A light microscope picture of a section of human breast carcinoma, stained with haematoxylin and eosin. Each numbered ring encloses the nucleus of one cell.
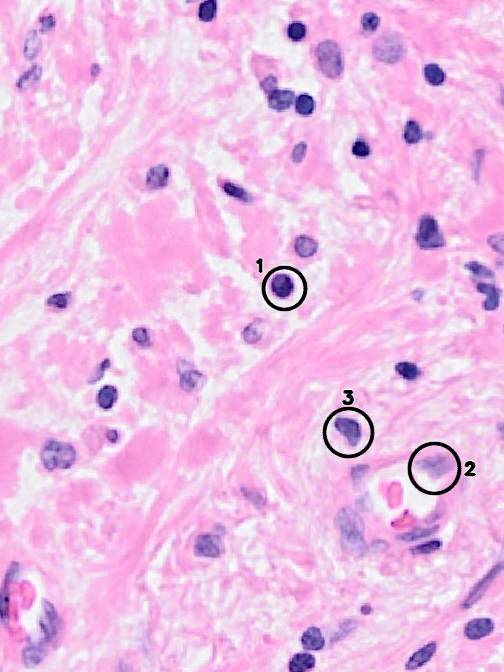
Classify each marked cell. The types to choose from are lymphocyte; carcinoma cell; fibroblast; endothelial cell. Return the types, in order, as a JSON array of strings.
["lymphocyte", "endothelial cell", "lymphocyte"]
